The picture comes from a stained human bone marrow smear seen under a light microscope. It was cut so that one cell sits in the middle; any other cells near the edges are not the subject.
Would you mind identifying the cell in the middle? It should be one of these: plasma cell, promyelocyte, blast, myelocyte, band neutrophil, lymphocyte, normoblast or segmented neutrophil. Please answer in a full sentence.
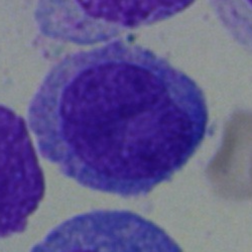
The cell the crop is centered on is a blast.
